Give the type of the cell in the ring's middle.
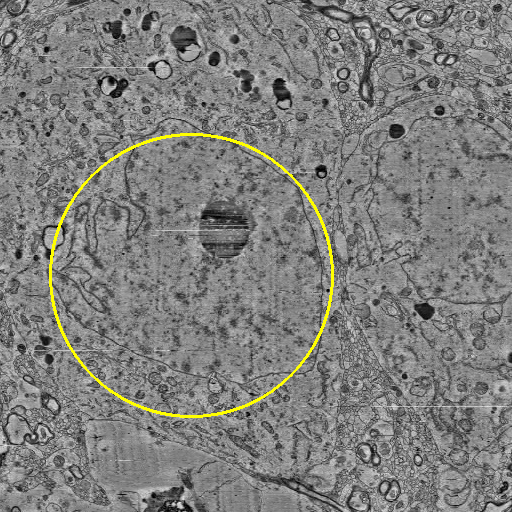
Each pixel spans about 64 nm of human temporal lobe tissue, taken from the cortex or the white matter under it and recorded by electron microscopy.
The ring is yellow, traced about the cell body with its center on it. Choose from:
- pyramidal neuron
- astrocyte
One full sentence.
Here, a pyramidal neuron is the cell lying at the center of the yellow ring.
